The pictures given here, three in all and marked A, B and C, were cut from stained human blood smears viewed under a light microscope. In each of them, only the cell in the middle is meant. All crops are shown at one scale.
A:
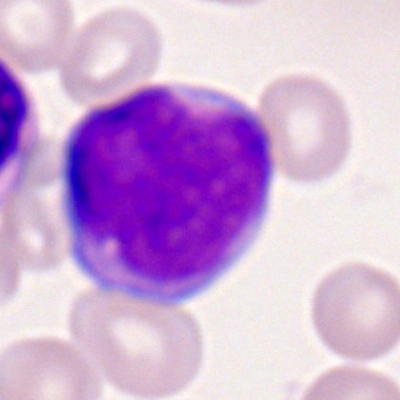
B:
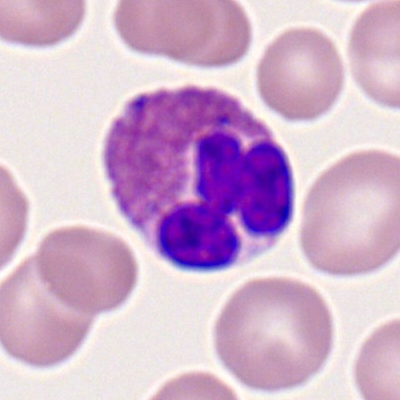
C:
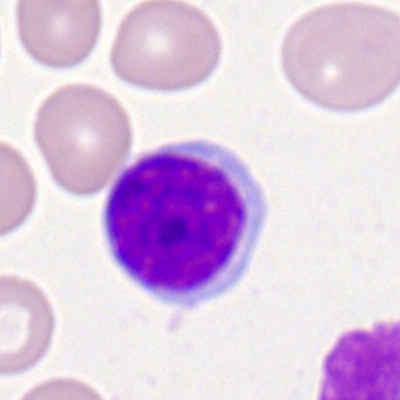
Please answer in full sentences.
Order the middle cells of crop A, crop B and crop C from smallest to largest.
The order is C, B, A, beginning with the smallest.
